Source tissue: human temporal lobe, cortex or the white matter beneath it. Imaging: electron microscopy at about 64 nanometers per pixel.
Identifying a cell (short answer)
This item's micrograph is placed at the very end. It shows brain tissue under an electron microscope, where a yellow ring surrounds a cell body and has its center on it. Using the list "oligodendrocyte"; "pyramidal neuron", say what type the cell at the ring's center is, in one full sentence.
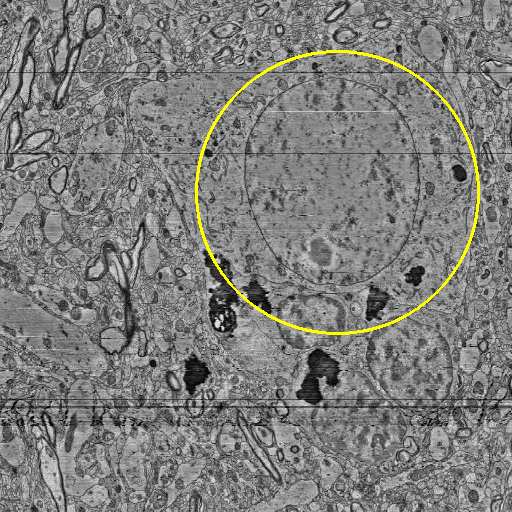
This picture shows a pyramidal neuron at the center of the yellow ring drawn on it.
